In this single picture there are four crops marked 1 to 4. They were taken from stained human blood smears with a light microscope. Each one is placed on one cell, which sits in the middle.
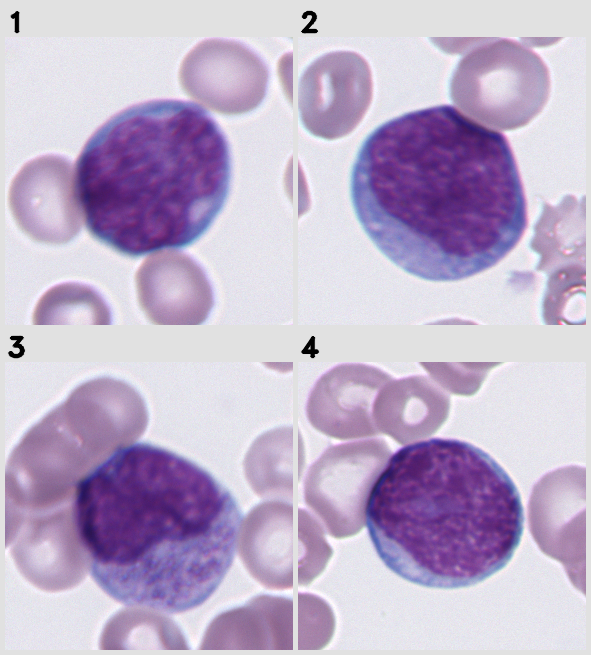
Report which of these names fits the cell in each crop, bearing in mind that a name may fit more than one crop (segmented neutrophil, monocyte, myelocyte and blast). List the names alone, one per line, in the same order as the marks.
blast
blast
myelocyte
blast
